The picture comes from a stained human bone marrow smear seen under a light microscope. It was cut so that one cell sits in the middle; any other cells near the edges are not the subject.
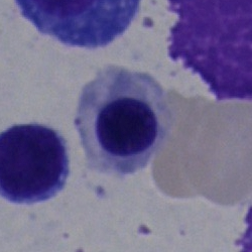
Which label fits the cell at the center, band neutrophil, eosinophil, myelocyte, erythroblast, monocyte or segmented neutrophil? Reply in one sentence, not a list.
The central cell, amid any neighbouring cells, is an erythroblast.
